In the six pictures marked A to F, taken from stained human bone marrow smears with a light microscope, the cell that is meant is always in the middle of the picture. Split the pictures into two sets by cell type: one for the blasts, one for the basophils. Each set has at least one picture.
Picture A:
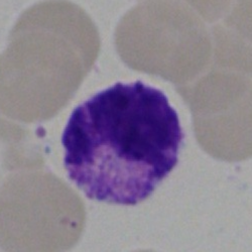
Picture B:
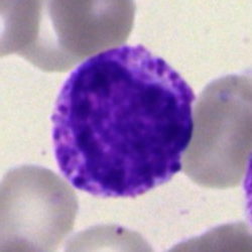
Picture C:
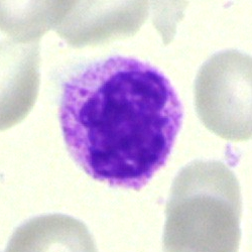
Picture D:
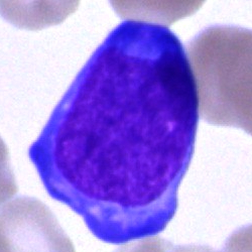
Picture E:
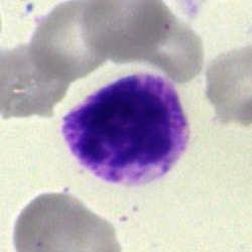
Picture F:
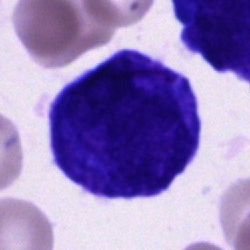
A: basophil
B: basophil
C: basophil
D: blast
E: basophil
F: blast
